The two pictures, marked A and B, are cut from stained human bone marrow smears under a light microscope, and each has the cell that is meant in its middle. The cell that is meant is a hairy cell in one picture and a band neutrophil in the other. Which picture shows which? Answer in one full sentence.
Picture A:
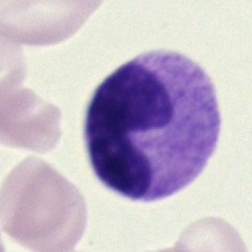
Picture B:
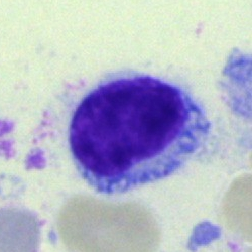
Picture A shows a band neutrophil and picture B shows a hairy cell.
